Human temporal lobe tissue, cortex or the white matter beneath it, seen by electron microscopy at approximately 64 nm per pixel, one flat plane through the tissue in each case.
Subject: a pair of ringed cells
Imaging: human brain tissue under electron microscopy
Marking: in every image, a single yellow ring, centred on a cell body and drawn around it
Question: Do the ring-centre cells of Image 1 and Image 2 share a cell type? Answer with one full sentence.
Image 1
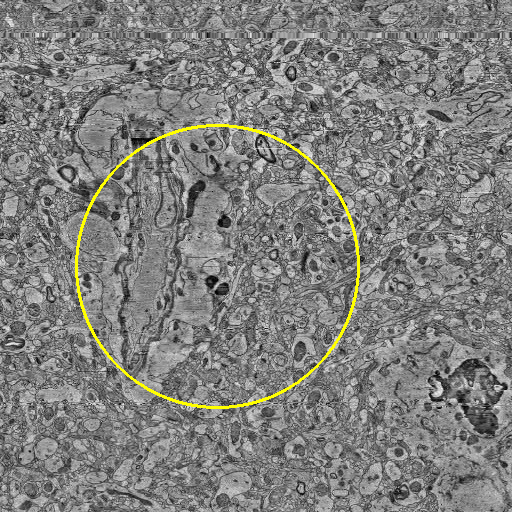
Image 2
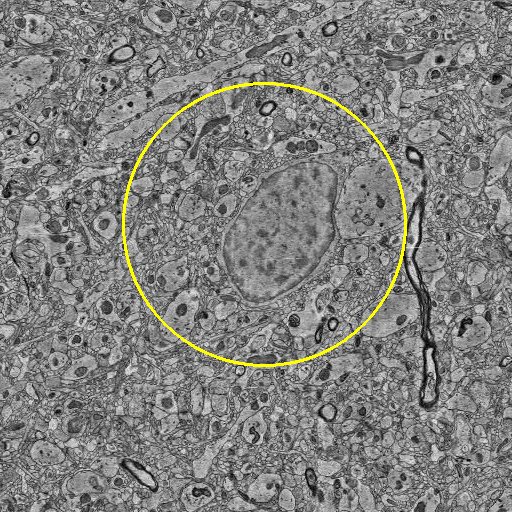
No, at the ring centres in the images sit cells of two separate types.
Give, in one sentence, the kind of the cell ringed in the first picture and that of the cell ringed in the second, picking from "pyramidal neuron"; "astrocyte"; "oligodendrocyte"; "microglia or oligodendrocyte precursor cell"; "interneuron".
For the first picture it is a microglial cell or oligodendrocyte precursor cell; for the second, an oligodendrocyte.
